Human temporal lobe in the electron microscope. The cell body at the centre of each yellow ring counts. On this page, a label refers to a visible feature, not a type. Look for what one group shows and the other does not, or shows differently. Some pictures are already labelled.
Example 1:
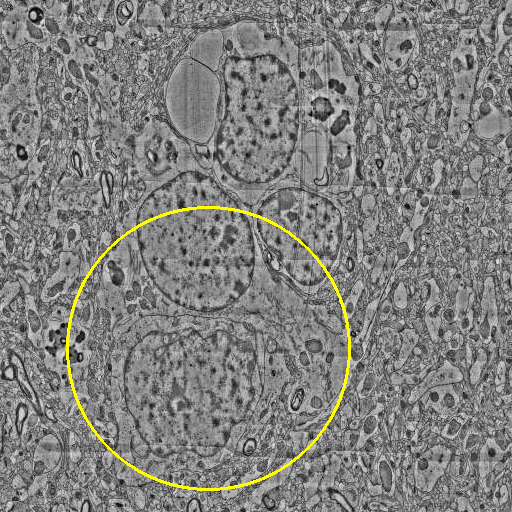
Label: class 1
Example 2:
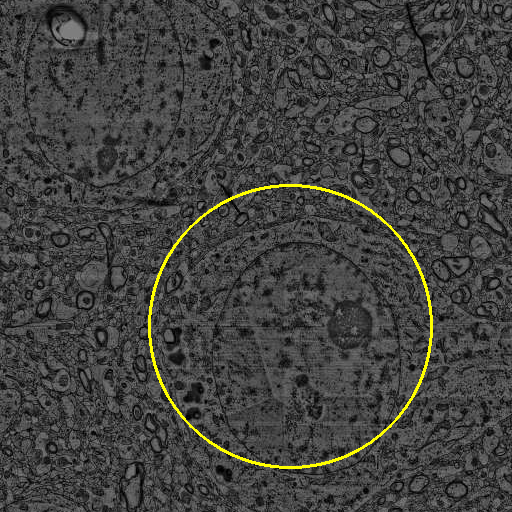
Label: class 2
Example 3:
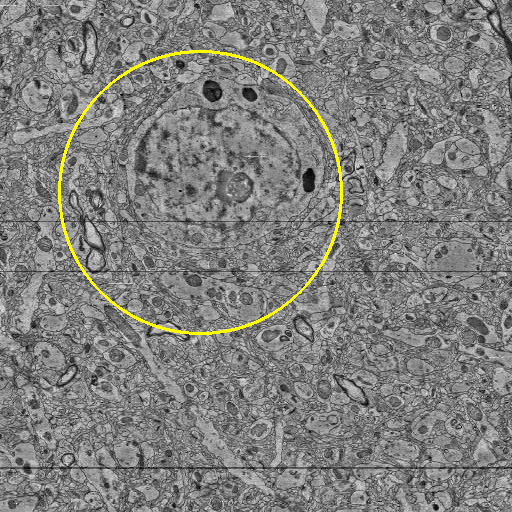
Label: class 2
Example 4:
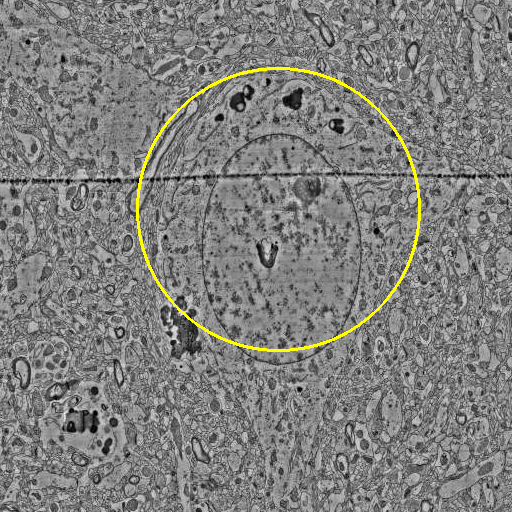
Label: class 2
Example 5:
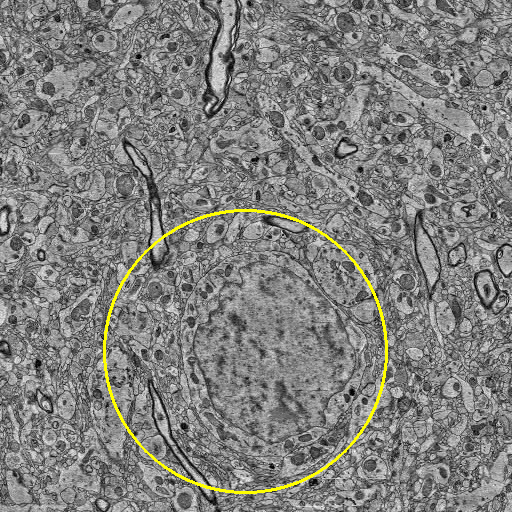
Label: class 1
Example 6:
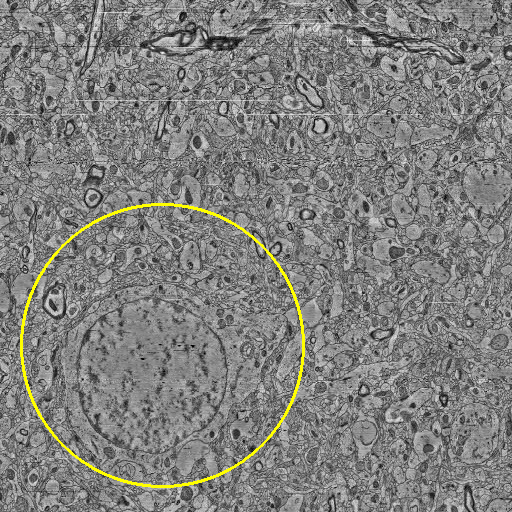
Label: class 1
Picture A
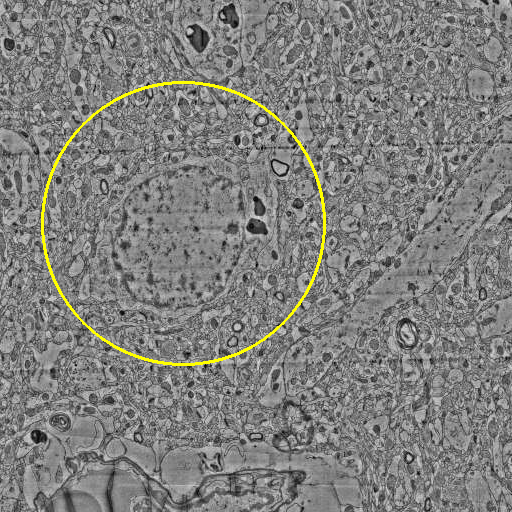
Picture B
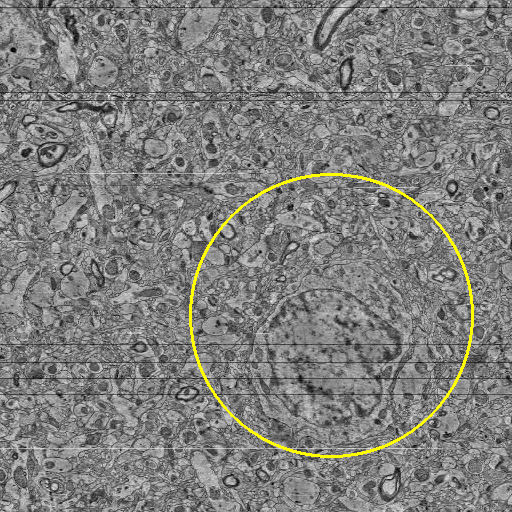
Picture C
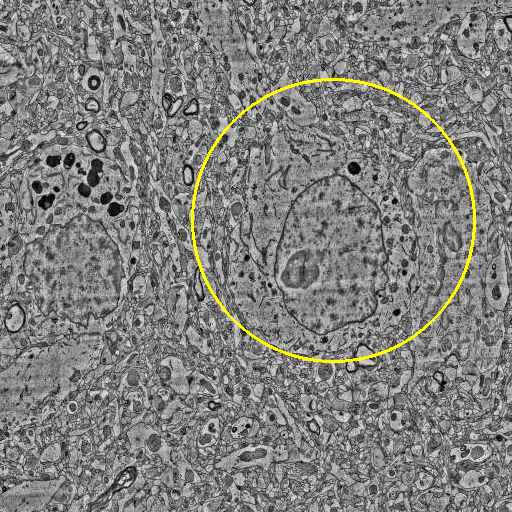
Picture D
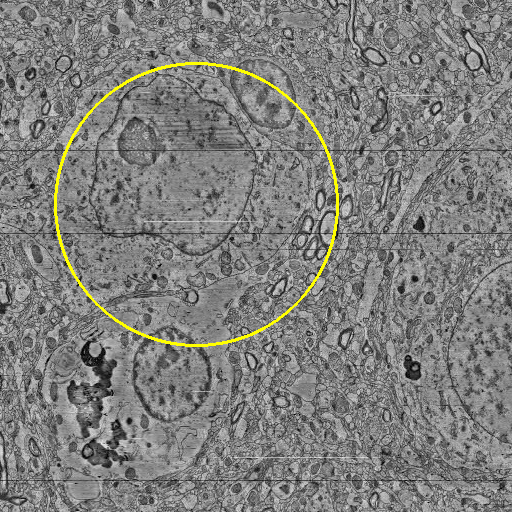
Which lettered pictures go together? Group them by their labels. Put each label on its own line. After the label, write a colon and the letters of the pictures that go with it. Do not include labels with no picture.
class 1: A, B
class 2: C, D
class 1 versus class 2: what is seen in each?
In class 1: no nucleolus seen. In class 2: nucleolus seen.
